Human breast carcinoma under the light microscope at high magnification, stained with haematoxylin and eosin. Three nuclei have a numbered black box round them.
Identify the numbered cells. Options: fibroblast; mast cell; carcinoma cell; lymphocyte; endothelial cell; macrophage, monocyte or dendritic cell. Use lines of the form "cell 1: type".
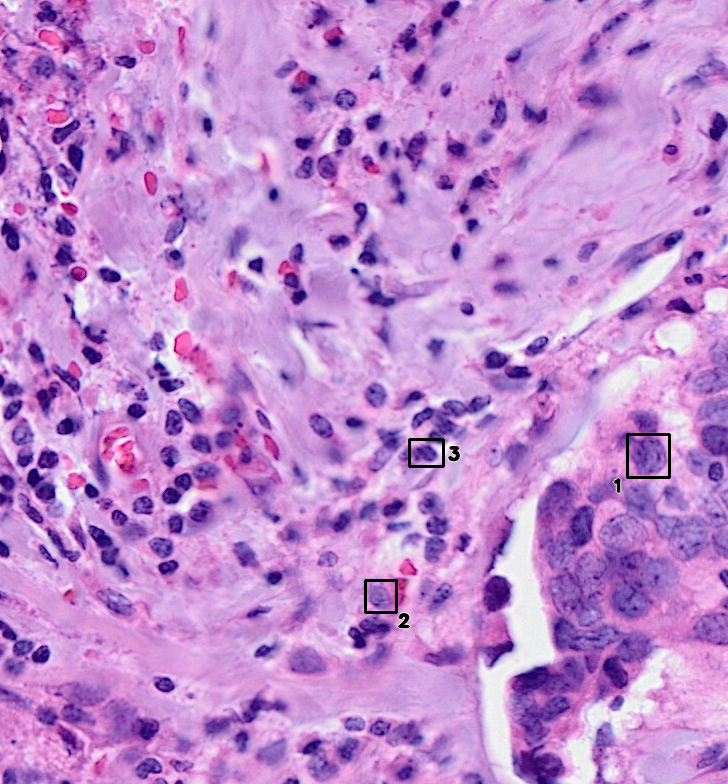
cell 1: carcinoma cell
cell 2: endothelial cell
cell 3: lymphocyte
